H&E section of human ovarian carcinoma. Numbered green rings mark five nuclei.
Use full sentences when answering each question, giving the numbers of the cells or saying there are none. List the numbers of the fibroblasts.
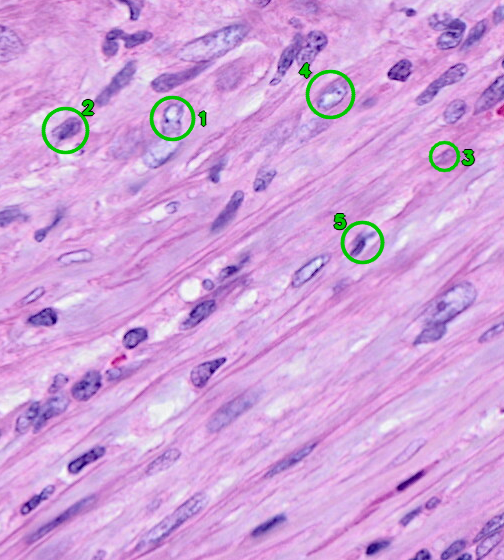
Cells 1, 3 and 4 share one type; they are fibroblasts.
